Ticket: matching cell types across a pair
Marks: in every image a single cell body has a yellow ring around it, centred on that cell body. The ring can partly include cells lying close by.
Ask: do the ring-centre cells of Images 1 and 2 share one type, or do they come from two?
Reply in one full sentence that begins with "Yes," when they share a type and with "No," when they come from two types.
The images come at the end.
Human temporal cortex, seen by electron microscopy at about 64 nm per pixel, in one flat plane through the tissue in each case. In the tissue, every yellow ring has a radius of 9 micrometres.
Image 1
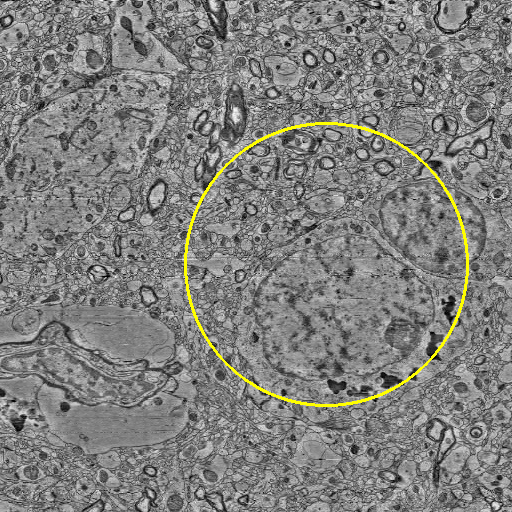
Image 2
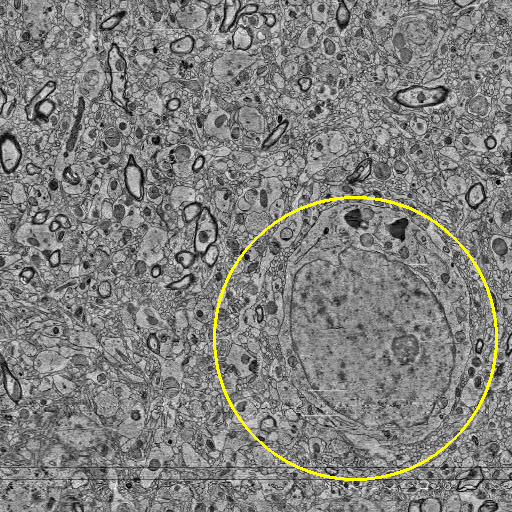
Yes, the cells in the centres of the rings in Image 1 and Image 2 share one type.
